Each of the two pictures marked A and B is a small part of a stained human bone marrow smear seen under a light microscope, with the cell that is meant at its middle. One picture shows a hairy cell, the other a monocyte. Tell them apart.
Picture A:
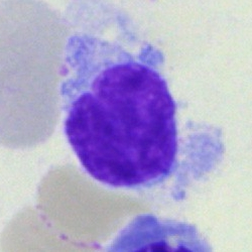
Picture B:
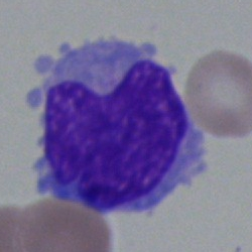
A: hairy cell
B: monocyte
